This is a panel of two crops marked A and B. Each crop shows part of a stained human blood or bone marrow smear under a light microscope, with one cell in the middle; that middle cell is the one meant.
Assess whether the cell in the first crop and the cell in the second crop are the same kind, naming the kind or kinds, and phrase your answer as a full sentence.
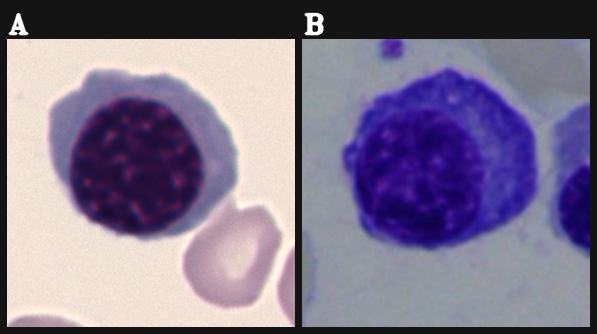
No, just to correct that: crop A shows a normoblast, crop B shows a plasma cell.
